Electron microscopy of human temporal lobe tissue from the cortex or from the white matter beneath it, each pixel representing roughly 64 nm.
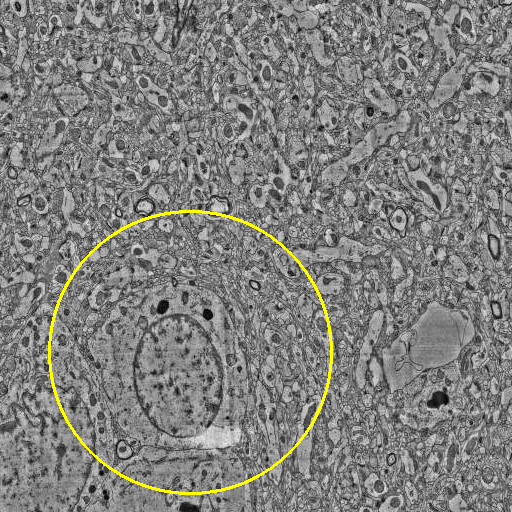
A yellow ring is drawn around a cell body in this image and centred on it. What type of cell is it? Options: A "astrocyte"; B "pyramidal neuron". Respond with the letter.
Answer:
B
